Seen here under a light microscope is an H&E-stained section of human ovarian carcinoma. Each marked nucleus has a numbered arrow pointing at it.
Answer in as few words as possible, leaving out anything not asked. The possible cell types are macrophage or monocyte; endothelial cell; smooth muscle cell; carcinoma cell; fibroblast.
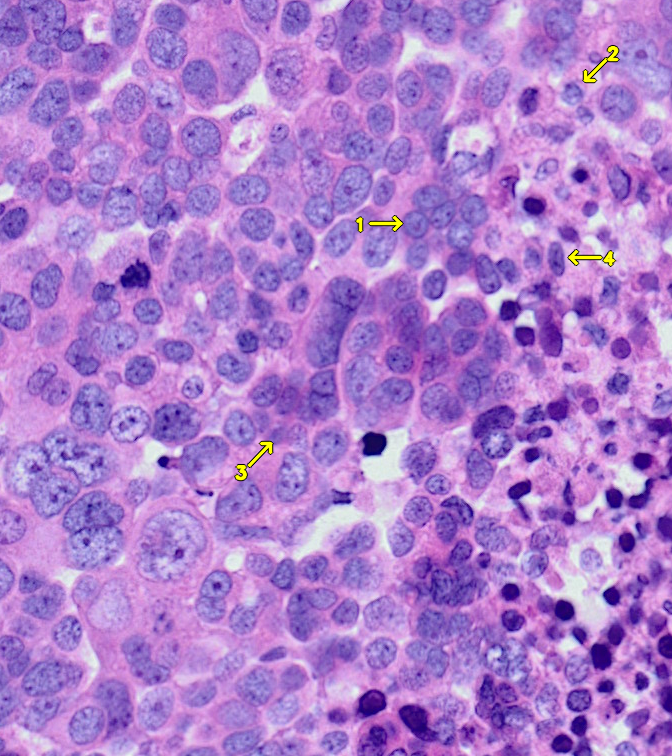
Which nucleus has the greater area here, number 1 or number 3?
1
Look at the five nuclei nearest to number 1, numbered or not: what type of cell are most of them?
carcinoma cell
